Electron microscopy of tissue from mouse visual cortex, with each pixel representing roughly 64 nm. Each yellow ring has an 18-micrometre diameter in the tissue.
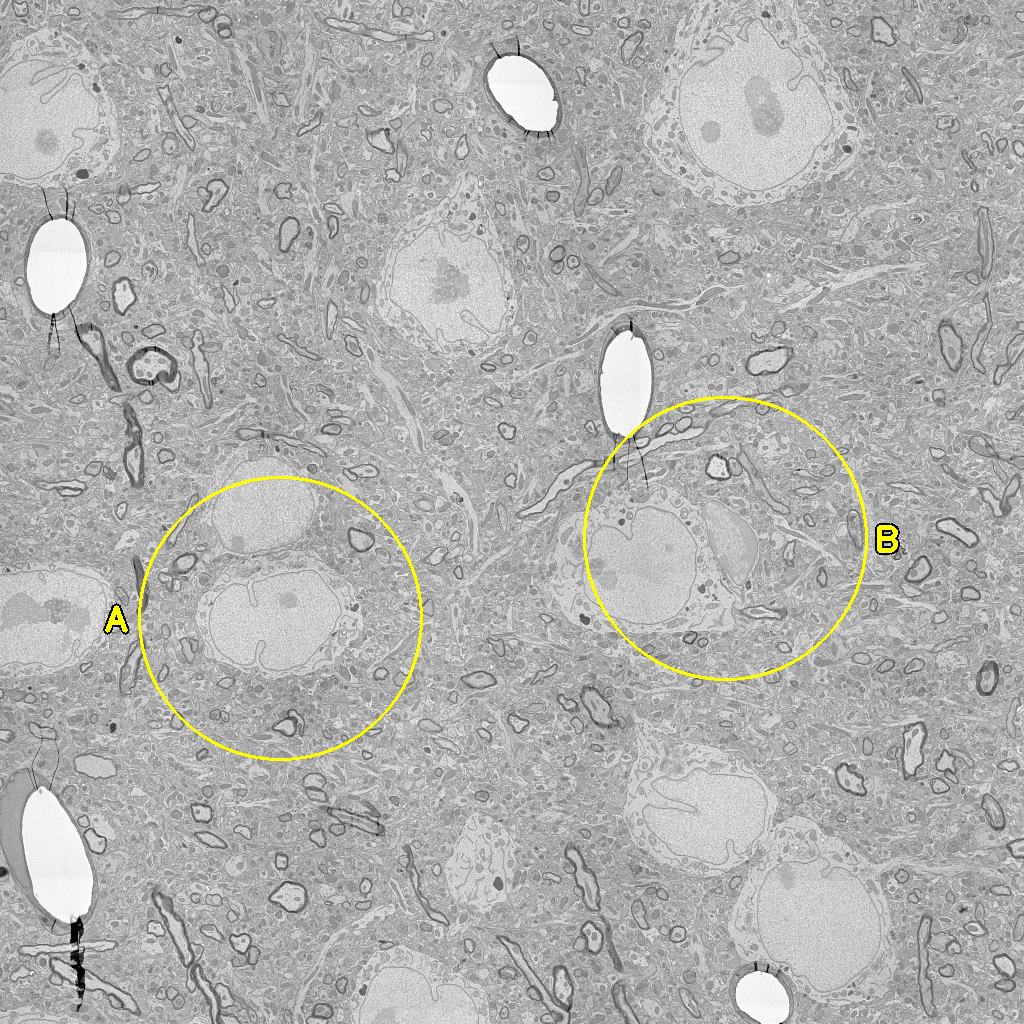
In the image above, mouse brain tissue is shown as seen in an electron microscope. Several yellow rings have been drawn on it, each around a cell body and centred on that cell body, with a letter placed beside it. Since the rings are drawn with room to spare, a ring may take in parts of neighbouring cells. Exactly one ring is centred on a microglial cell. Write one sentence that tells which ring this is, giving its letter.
The ring marked B is centred on it.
